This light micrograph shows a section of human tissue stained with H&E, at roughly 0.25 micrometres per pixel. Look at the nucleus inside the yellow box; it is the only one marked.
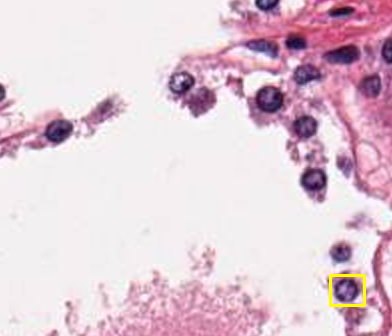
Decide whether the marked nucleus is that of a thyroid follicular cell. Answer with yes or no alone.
yes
